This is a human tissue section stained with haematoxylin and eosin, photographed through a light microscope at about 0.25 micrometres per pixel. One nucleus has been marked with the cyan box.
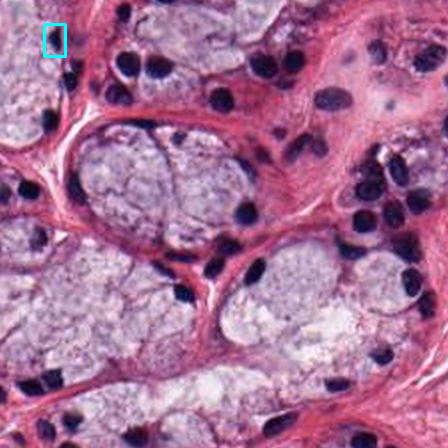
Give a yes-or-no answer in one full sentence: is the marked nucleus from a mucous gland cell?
Yes, the marked nucleus is held by a mucous gland cell.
